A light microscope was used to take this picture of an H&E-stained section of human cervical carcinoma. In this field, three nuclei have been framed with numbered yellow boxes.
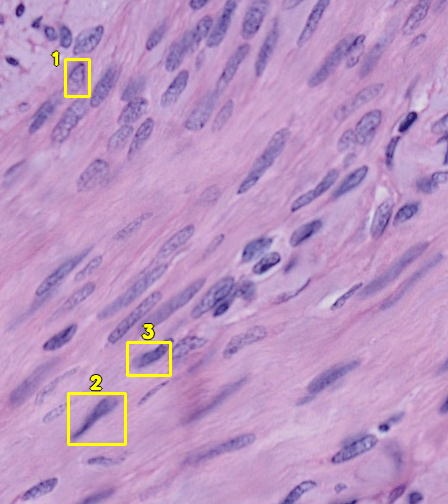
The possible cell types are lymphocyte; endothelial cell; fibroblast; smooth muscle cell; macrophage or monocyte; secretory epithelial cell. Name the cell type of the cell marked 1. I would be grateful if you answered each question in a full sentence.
The cell identified by number 1 is a smooth muscle cell.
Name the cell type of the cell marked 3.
The cell marked with the number 3 is a fibroblast.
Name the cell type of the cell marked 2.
The cell whose nucleus carries the number 2 is a fibroblast.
